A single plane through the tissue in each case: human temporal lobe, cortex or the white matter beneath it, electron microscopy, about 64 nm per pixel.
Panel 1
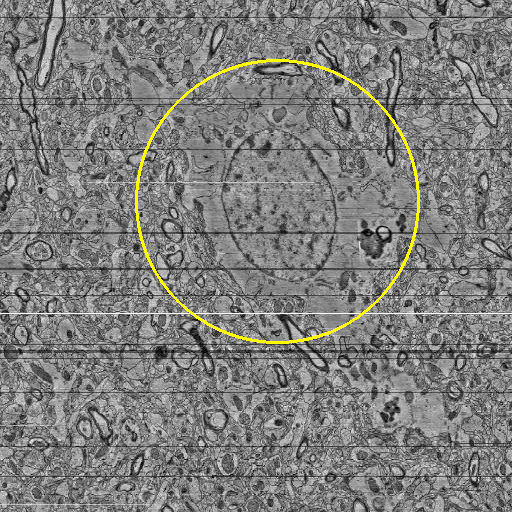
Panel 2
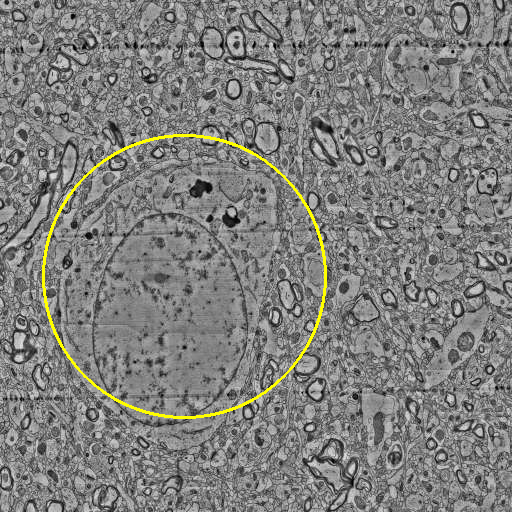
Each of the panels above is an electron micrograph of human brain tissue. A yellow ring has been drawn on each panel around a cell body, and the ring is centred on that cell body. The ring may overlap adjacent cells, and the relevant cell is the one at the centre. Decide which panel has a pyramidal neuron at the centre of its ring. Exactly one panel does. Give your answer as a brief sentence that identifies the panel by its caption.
Panel 2 is the one with it at the centre of the ring.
